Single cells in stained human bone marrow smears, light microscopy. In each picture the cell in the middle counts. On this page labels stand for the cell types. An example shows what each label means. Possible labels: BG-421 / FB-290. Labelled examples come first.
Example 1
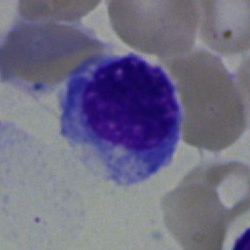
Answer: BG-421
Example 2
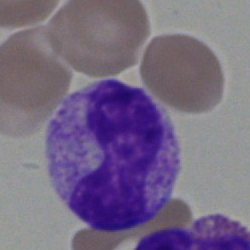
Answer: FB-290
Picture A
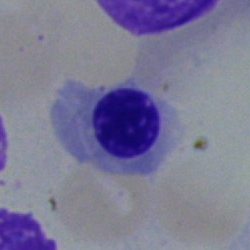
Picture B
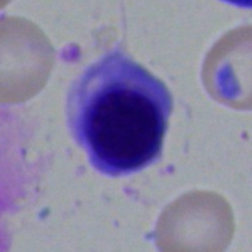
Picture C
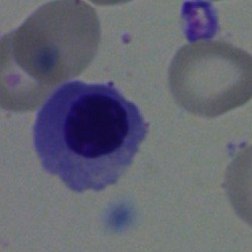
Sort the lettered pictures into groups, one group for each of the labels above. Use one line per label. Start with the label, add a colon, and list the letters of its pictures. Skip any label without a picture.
BG-421: A, B, C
